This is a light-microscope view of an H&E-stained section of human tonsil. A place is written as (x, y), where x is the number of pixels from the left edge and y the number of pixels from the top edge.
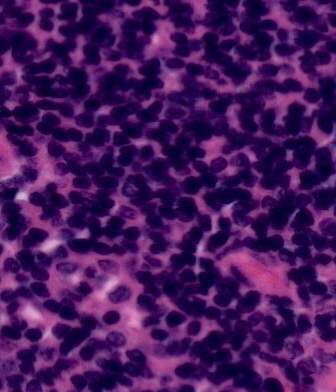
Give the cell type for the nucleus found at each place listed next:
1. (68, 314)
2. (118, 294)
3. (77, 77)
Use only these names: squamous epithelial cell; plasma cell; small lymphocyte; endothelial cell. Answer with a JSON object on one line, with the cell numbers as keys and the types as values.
{"1": "small lymphocyte", "2": "endothelial cell", "3": "small lymphocyte"}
